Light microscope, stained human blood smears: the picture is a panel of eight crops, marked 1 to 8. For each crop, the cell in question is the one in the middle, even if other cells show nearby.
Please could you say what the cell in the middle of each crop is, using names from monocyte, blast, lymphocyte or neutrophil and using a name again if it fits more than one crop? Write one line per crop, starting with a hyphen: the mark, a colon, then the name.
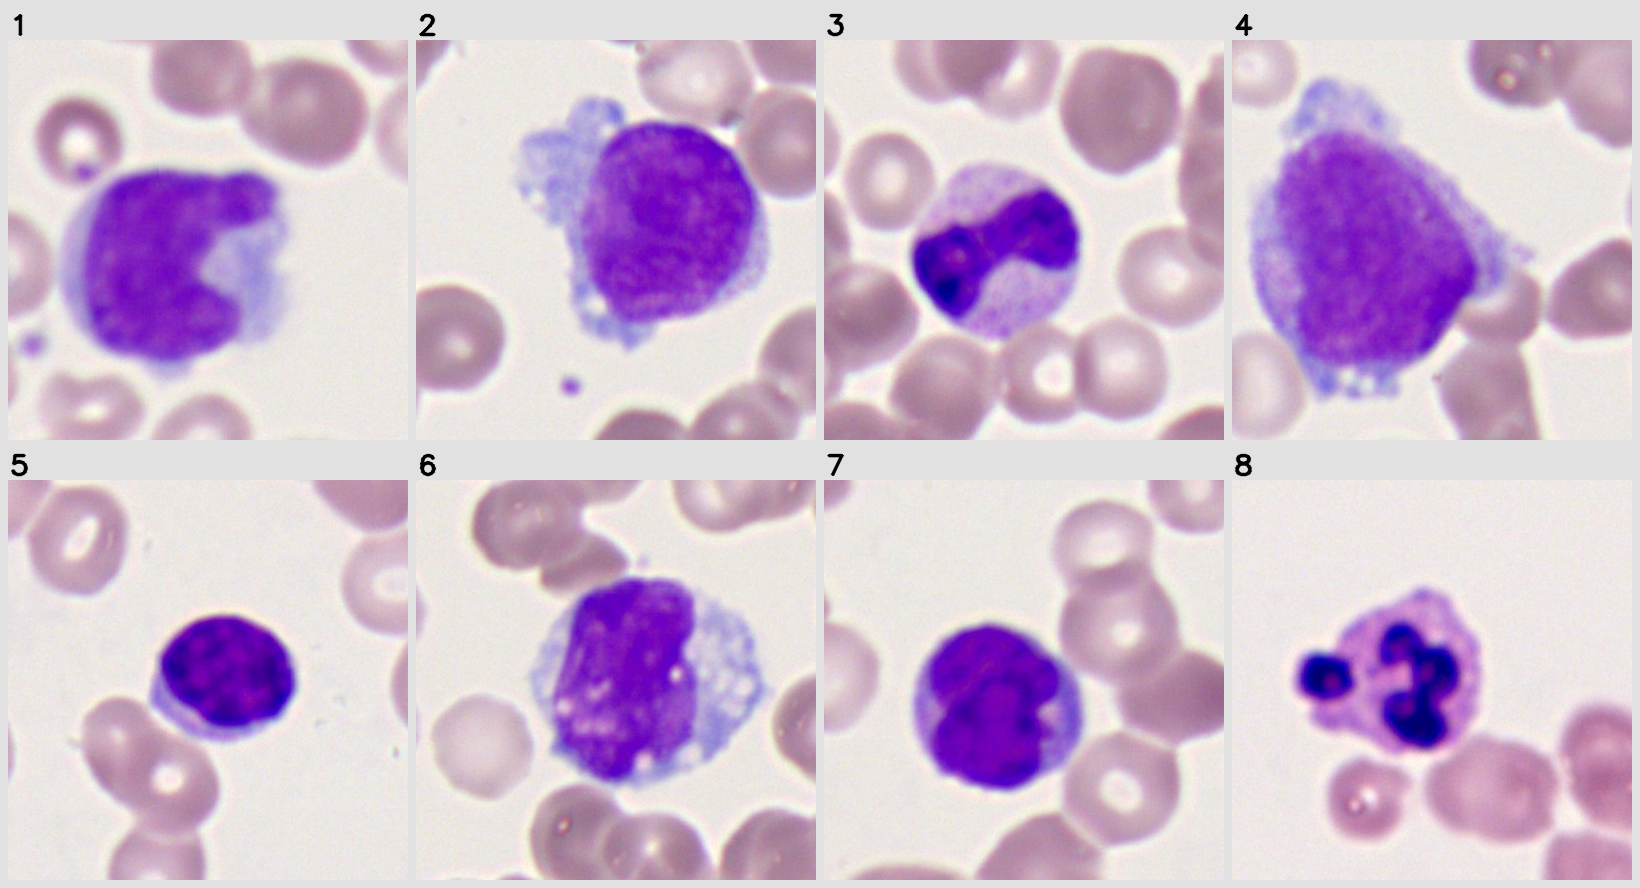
- 1: monocyte
- 2: blast
- 3: neutrophil
- 4: monocyte
- 5: lymphocyte
- 6: monocyte
- 7: blast
- 8: neutrophil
